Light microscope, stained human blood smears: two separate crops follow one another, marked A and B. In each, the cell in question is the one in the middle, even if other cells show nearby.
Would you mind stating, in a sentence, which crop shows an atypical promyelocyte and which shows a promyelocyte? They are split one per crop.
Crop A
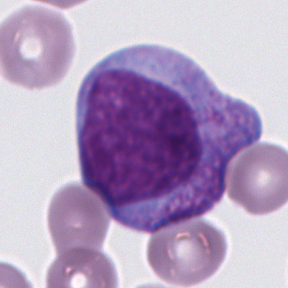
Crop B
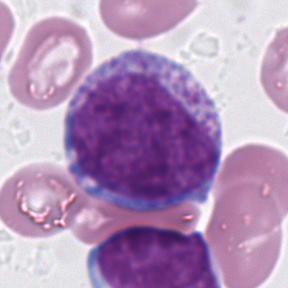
Found in crop A is an atypical promyelocyte; found in crop B is a promyelocyte.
